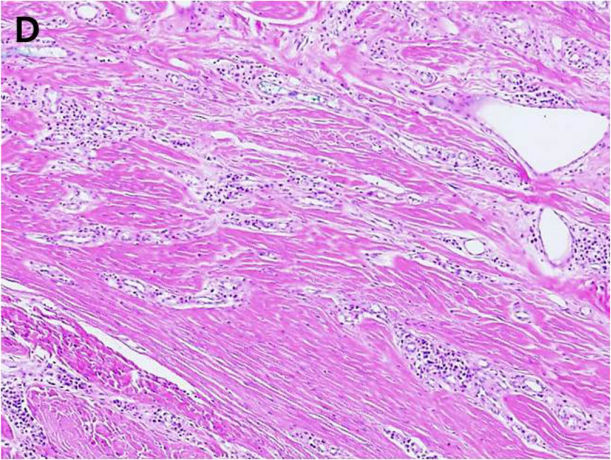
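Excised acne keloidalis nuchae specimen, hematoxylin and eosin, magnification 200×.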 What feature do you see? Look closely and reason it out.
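Several empty, widely opened vascular spaces lie among the collagen, the largest at the upper right. Small clusters of inflammatory cells sit around the vessels. On this evidence: dilated vasculature.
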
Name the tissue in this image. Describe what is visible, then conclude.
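Thick, deeply eosinophilic collagen bundles run across the field. The bundles are tightly packed with few fibroblast nuclei between them.
Conclusion: Compact collagen bundles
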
